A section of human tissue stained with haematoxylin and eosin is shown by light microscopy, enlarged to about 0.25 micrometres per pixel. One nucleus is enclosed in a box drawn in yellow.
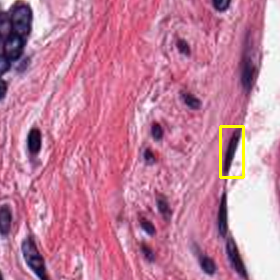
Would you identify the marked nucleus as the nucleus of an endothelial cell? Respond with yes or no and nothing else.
yes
